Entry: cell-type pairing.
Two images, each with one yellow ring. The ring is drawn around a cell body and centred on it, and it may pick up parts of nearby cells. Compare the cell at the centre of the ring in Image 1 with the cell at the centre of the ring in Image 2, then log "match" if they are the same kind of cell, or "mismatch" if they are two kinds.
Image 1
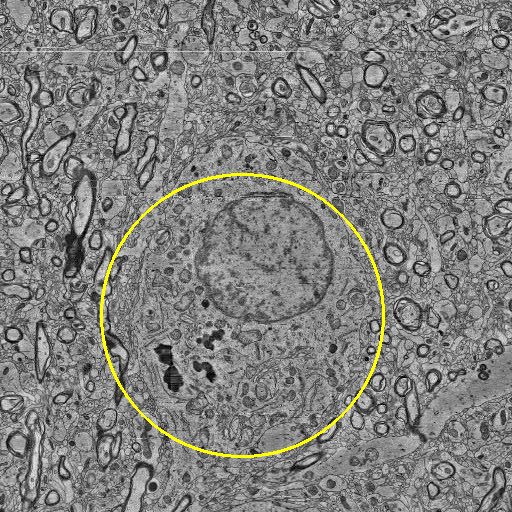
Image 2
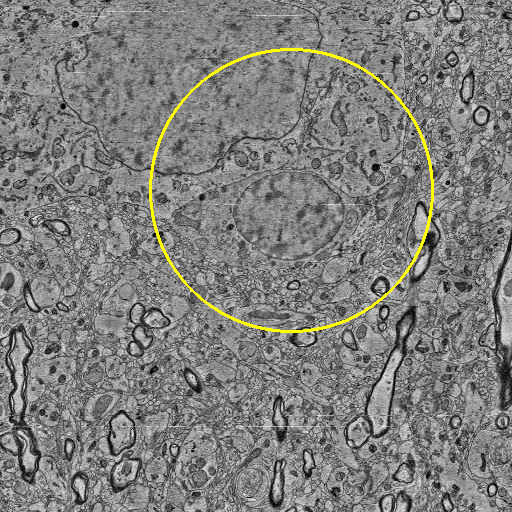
mismatch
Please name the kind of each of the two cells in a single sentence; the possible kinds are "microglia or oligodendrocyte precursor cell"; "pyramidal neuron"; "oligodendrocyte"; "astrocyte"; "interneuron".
In the first picture the ring is centred on an interneuron, and in the second on an oligodendrocyte.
